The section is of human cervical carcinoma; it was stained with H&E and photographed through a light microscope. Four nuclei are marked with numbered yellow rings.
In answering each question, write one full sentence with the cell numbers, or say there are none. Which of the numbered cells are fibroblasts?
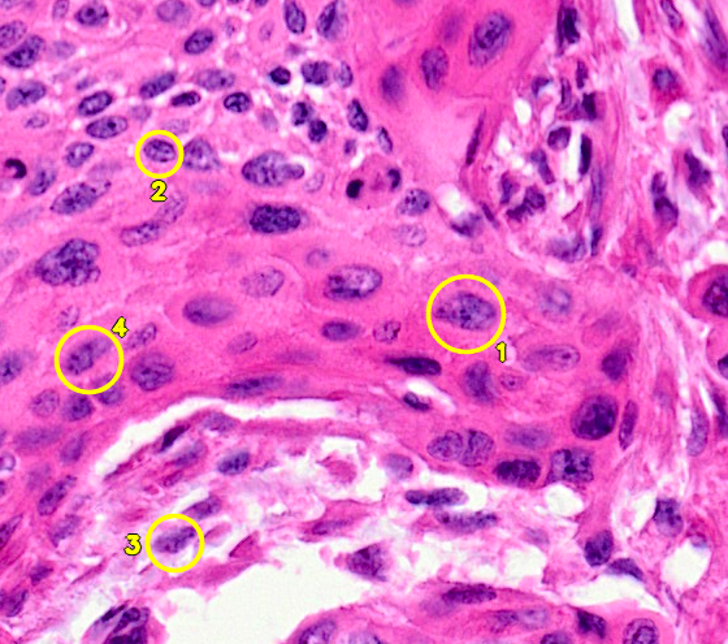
Of all the numbered cells, only one is a fibroblast, and that is cell 3.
